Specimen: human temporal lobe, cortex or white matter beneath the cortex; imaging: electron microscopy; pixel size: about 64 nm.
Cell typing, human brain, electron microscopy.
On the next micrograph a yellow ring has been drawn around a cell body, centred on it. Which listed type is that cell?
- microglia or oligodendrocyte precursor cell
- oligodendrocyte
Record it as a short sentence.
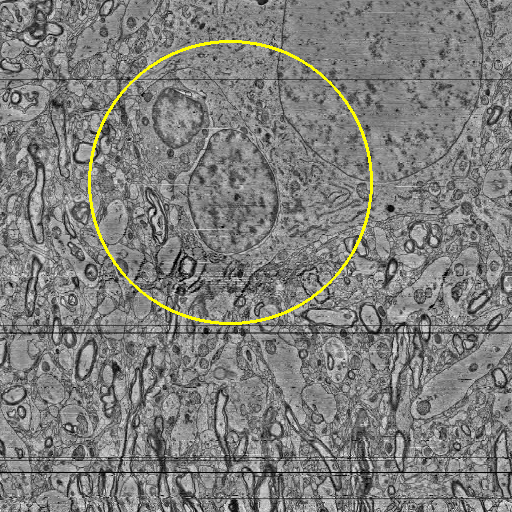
The cell body in the ring's centre belongs to a microglial cell or oligodendrocyte precursor cell.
